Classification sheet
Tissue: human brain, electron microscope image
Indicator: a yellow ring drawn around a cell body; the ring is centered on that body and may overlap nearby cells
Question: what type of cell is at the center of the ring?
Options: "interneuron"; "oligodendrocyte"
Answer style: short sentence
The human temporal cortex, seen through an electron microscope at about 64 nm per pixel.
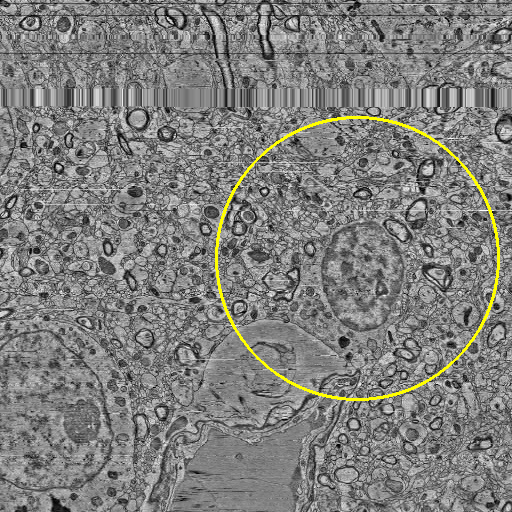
At the ring's center is an oligodendrocyte.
